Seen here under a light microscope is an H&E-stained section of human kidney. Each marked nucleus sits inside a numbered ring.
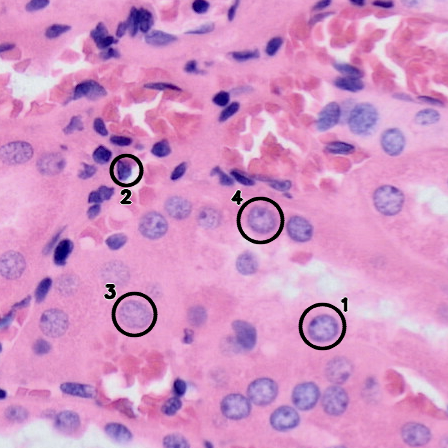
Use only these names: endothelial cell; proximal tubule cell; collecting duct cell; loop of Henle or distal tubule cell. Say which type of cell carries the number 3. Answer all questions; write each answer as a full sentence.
The cell that is numbered 3 is a proximal tubule cell.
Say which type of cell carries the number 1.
Heads up, the cell numbered 1 is a proximal tubule cell.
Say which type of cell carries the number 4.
The correct label for cell 4 is a proximal tubule cell.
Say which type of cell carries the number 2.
Here, the cell given the number 2 is an endothelial cell.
